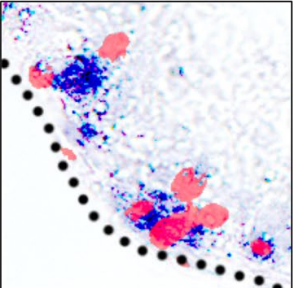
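The cluster is made of several rounded cells packed closely together, whose nuclei are labelled red. Dense dark blue granular stain fills the space around and over these nuclei, so the red and blue coincide in the cluster. A second, smaller group of red nuclei with blue stain lies at the upper left of the field. The rest of the tissue is pale and lightly textured, with few labelled nuclei.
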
